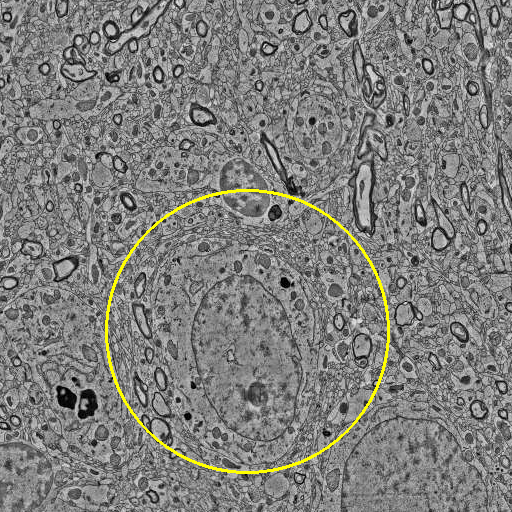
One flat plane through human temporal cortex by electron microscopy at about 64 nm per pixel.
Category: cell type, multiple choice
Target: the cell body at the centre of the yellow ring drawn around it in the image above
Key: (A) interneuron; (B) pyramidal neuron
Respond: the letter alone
B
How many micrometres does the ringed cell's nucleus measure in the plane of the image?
Roughly 11 by 7 micrometres; in this plane, clearly longer than it is wide.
